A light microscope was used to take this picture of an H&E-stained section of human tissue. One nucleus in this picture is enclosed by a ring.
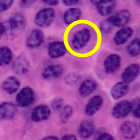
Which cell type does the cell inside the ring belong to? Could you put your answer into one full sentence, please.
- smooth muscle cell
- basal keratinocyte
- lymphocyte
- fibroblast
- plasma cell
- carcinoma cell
In this section of tissue, the cell inside the ring is a plasma cell.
